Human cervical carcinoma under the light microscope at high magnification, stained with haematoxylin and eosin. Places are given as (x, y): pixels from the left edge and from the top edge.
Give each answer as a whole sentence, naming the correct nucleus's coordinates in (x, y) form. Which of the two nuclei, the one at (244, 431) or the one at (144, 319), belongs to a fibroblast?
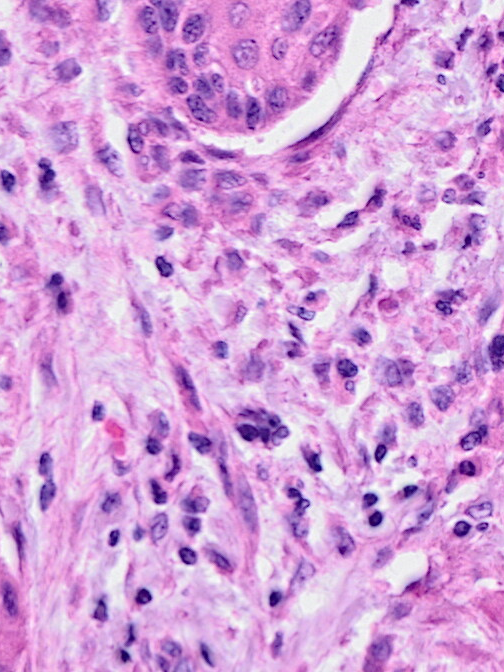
Assigned to a fibroblast is the nucleus located at (144, 319).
